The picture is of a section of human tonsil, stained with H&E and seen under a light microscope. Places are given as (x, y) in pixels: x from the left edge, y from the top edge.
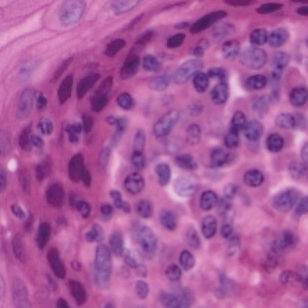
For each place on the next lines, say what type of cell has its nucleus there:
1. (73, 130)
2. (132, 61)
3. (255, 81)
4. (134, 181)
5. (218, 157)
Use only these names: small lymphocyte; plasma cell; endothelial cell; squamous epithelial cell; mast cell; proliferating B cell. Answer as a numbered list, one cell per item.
1. squamous epithelial cell
2. squamous epithelial cell
3. plasma cell
4. plasma cell
5. plasma cell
